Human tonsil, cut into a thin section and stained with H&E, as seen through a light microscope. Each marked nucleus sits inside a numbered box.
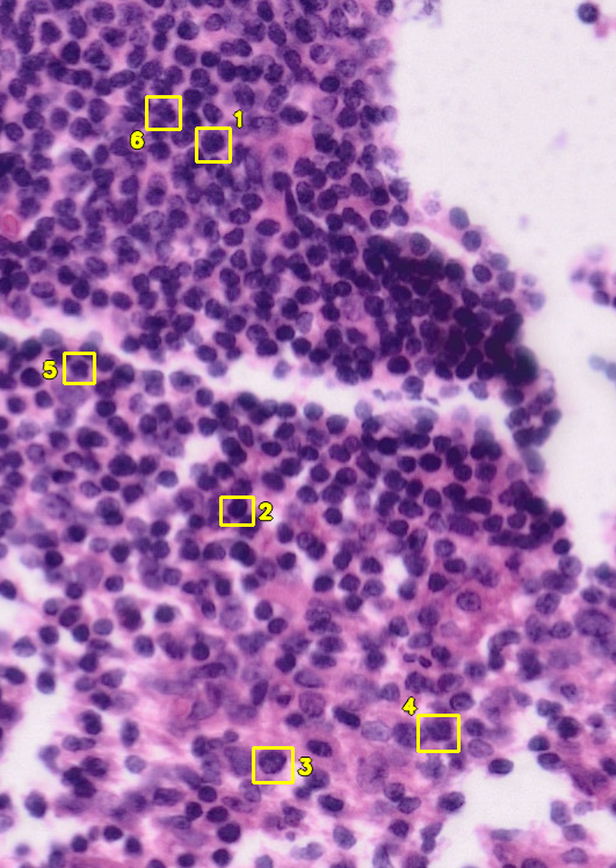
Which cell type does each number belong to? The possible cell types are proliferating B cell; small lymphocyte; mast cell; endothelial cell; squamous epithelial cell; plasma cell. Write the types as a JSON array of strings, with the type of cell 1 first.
["small lymphocyte", "small lymphocyte", "proliferating B cell", "proliferating B cell", "small lymphocyte", "small lymphocyte"]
